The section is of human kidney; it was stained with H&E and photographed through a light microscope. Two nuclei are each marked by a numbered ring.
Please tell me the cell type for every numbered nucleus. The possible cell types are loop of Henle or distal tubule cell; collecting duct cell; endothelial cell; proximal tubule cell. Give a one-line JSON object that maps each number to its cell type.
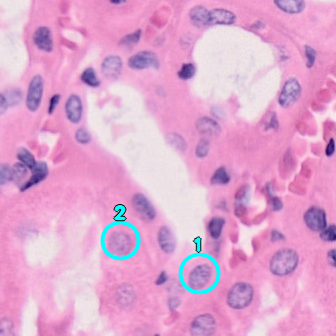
{"1": "collecting duct cell", "2": "proximal tubule cell"}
